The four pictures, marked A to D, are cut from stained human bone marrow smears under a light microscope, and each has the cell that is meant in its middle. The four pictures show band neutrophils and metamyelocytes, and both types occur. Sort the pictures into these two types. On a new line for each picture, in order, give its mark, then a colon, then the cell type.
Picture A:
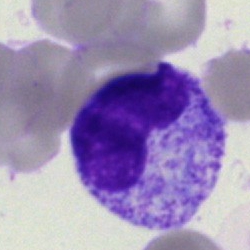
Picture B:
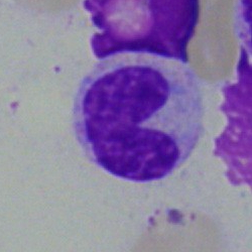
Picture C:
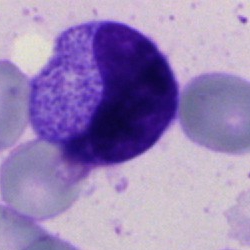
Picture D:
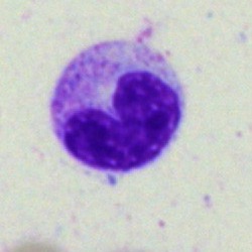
A: band neutrophil
B: band neutrophil
C: metamyelocyte
D: band neutrophil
